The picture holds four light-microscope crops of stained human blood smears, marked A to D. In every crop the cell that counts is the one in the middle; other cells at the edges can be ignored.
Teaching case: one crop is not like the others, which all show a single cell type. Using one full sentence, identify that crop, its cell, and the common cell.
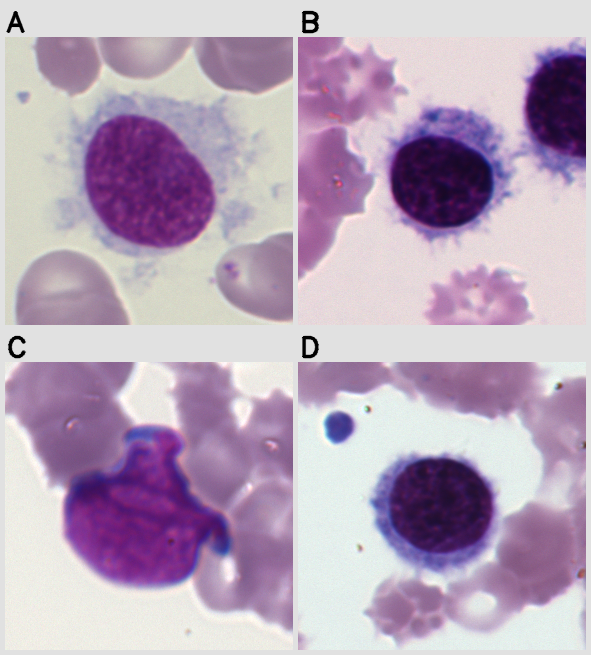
Apart from crop C, a blast, the crops all show hairy cells.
